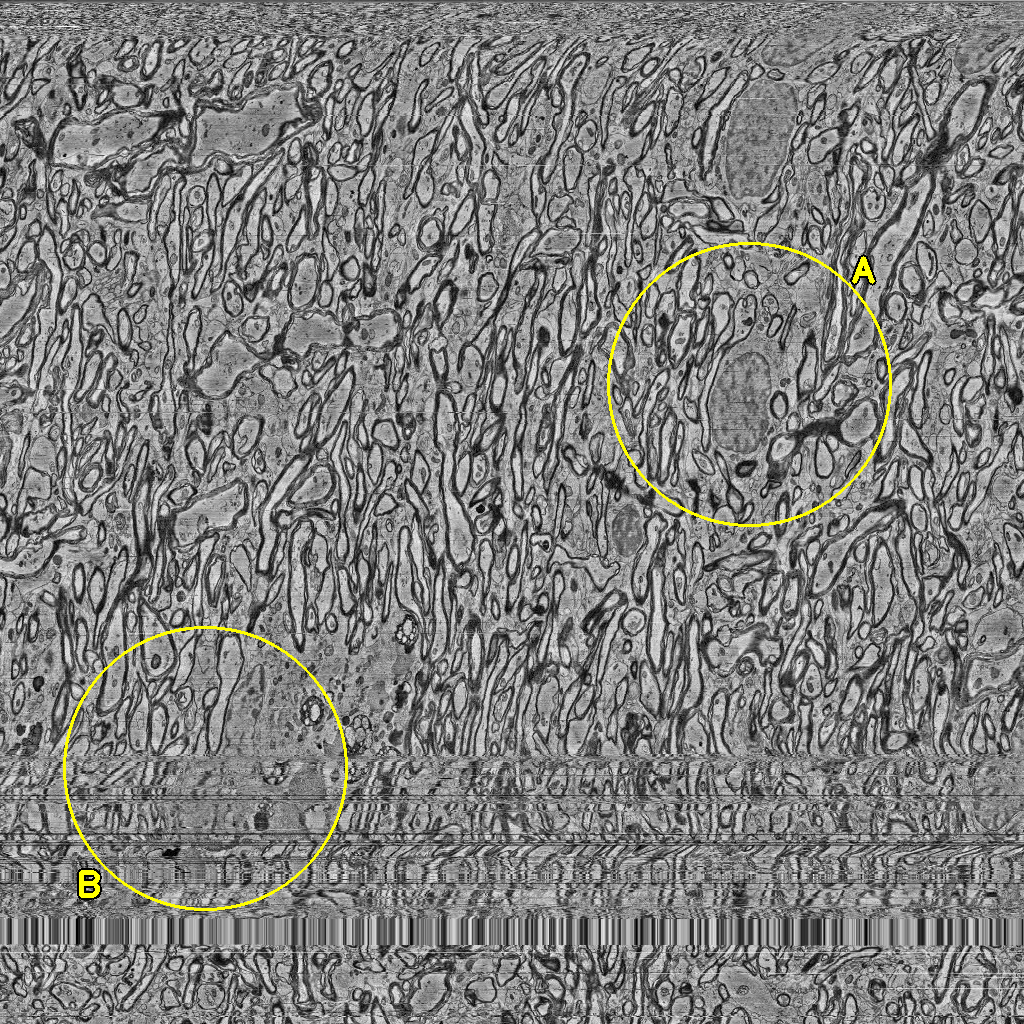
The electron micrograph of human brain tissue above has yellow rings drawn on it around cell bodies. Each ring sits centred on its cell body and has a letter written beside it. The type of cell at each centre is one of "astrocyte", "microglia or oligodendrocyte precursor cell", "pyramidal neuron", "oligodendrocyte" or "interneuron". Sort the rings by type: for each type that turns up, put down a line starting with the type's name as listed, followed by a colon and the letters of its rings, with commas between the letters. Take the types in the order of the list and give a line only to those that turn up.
astrocyte: B
oligodendrocyte: A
